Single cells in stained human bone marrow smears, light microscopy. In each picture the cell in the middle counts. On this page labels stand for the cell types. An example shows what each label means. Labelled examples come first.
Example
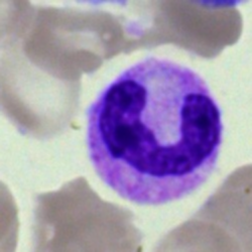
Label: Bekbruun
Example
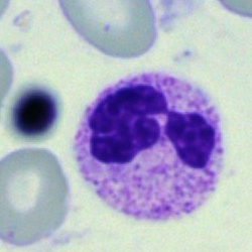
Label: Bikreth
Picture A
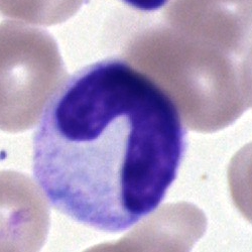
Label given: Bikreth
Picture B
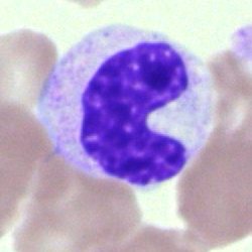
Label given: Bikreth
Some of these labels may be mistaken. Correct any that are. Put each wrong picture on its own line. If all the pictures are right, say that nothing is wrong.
Wrong: A (Bikreth); correct: Bekbruun
Wrong: B (Bikreth); correct: Bekbruun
